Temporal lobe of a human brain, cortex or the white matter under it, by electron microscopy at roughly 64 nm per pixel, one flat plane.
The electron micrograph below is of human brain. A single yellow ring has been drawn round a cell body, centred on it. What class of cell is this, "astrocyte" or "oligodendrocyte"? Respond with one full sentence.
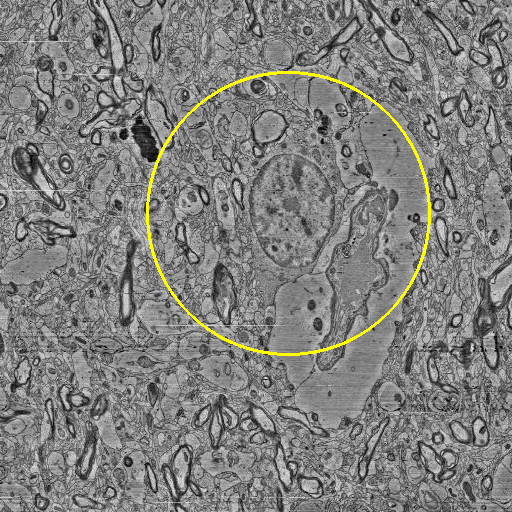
In the micrograph, the cell centred inside the yellow ring is an oligodendrocyte.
